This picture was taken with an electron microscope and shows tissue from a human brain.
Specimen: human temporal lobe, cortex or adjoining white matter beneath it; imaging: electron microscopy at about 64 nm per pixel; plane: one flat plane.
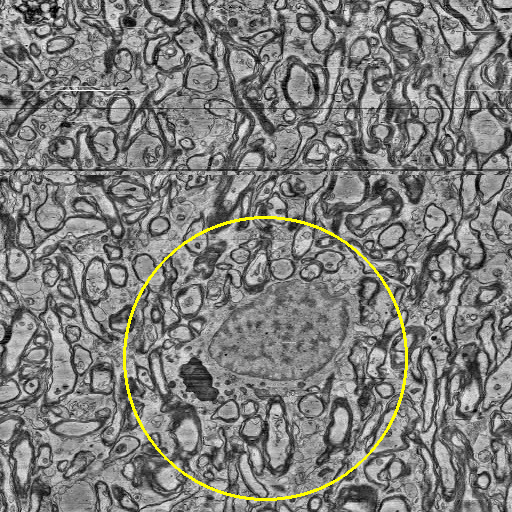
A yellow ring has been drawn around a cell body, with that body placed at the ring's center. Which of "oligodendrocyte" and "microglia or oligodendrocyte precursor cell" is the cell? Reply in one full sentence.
In this picture, an oligodendrocyte is the cell at the center of the yellow ring.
